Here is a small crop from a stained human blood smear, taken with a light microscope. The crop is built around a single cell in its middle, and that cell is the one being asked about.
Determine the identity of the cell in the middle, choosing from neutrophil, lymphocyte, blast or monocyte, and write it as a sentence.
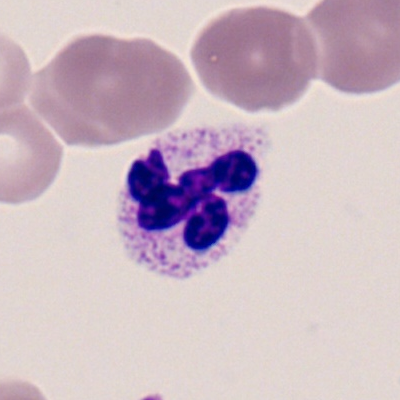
The cell shown in the center of this light-microscope crop is a neutrophil.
